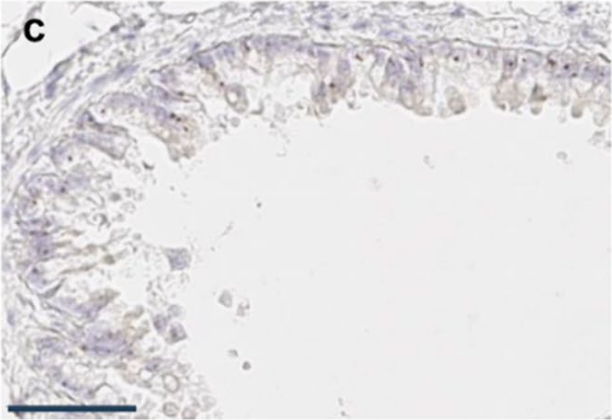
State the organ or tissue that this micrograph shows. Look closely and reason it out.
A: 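A curved layer of tall epithelial cells lines a large empty lumen. A thin band of connective tissue lies outside the epithelium.
Answer: Bronchus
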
